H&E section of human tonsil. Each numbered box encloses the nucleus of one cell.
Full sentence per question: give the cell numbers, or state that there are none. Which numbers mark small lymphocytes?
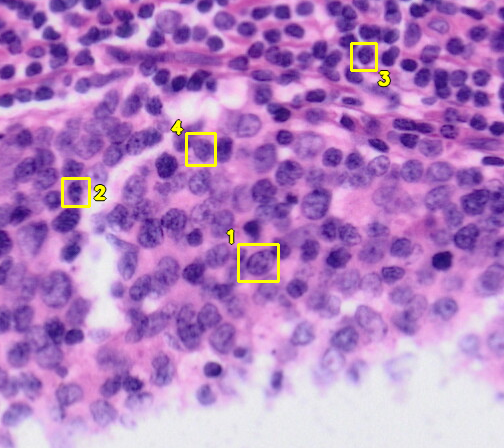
Among the labelled cells, only the cell labelled 3 is a small lymphocyte.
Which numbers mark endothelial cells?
The numbered cells, taken together, include no endothelial cells.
